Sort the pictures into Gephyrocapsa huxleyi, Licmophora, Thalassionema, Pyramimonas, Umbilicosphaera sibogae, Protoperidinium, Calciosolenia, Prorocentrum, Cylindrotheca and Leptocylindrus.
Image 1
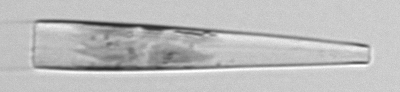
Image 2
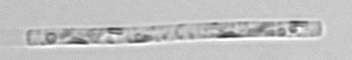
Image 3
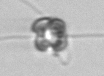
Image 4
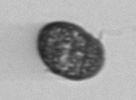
Licmophora: 1
Leptocylindrus: 2
Pyramimonas: 3
Umbilicosphaera sibogae: 4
